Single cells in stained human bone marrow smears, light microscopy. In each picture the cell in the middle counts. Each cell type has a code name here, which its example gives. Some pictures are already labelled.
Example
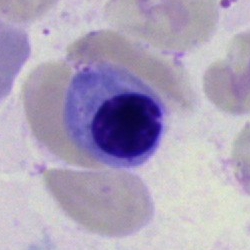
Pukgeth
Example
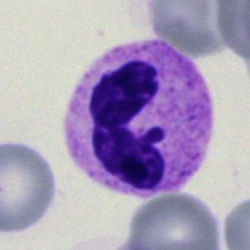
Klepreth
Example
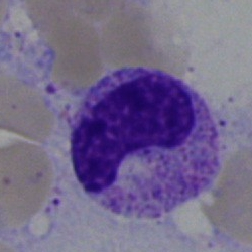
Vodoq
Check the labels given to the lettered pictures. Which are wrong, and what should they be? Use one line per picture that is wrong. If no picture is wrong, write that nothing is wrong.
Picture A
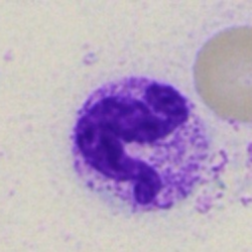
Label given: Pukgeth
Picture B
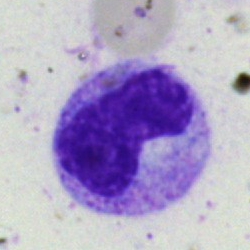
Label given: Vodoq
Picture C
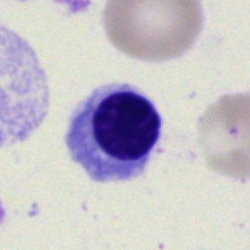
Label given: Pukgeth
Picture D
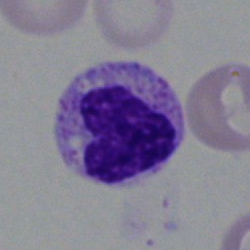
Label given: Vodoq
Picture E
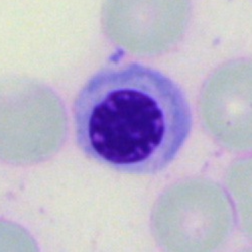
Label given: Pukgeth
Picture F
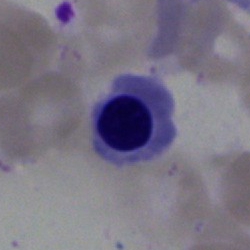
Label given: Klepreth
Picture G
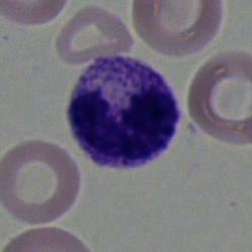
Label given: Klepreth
A should be Klepreth, not Pukgeth
F should be Pukgeth, not Klepreth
